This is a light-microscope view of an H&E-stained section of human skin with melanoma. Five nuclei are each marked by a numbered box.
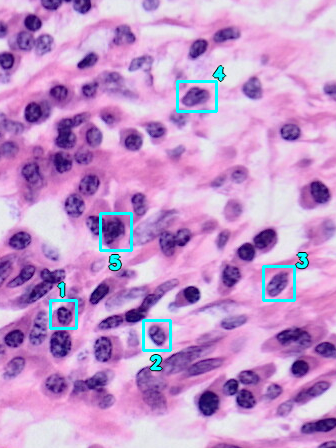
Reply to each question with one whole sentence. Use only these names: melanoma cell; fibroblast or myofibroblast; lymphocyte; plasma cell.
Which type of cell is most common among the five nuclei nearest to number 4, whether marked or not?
Of the five nuclei nearest to number 4, most belong to plasma cells.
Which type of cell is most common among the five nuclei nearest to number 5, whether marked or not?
The majority of the five nuclei closest to number 5 belong to plasma cells.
